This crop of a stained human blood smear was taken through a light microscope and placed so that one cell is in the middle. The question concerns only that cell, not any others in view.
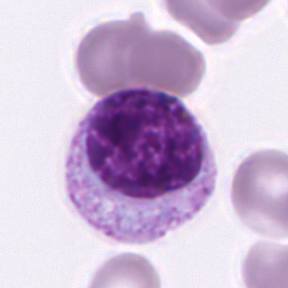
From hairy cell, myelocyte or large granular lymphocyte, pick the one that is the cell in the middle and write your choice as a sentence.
Located at the centre of the crop is a myelocyte.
